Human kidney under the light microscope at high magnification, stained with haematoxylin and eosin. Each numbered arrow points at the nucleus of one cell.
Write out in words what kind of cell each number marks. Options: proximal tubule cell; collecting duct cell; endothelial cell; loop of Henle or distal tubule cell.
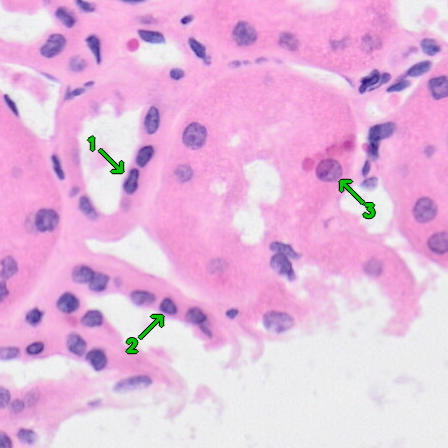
Cell 1 is a collecting duct cell, cell 2 is a collecting duct cell and cell 3 is a proximal tubule cell.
